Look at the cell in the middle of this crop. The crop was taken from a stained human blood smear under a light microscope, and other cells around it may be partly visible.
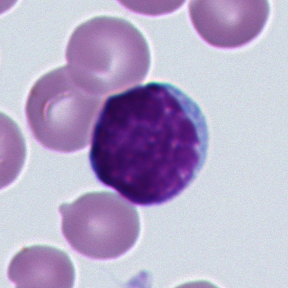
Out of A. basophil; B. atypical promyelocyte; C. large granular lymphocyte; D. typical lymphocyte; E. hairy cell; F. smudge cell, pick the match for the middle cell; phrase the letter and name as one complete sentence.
The cell in the middle is correctly identified as a typical lymphocyte in option D.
